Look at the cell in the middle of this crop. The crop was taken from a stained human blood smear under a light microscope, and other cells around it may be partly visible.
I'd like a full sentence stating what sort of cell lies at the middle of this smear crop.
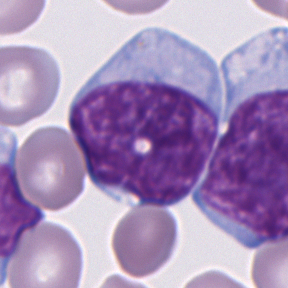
Answering briefly, the cell in the middle is a myeloblast.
